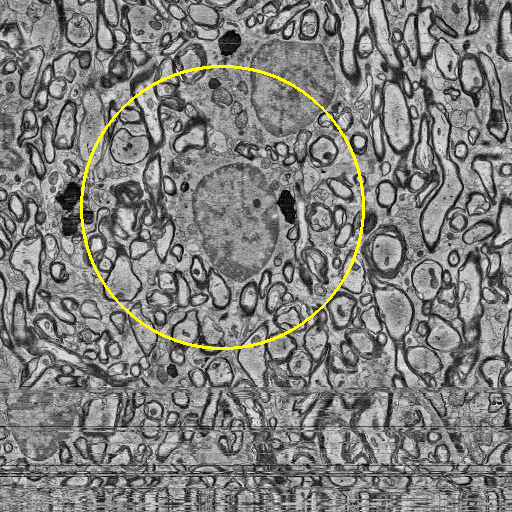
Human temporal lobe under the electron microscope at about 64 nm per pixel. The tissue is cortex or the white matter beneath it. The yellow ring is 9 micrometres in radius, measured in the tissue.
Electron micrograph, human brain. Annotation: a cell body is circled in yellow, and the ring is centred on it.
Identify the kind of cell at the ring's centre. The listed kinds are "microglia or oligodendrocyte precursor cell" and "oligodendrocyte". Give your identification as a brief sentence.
The circled cell body is that of an oligodendrocyte.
